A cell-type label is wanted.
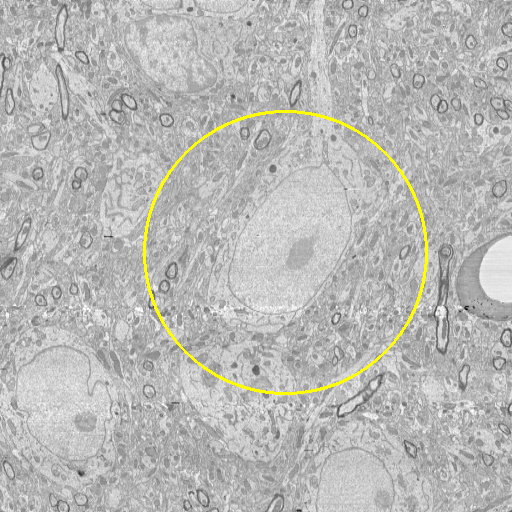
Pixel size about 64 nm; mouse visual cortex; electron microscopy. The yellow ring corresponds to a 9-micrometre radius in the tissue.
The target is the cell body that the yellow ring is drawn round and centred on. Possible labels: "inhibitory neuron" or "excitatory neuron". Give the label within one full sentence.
Of the labels offered, the cell in the middle of the yellow ring is an excitatory neuron.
